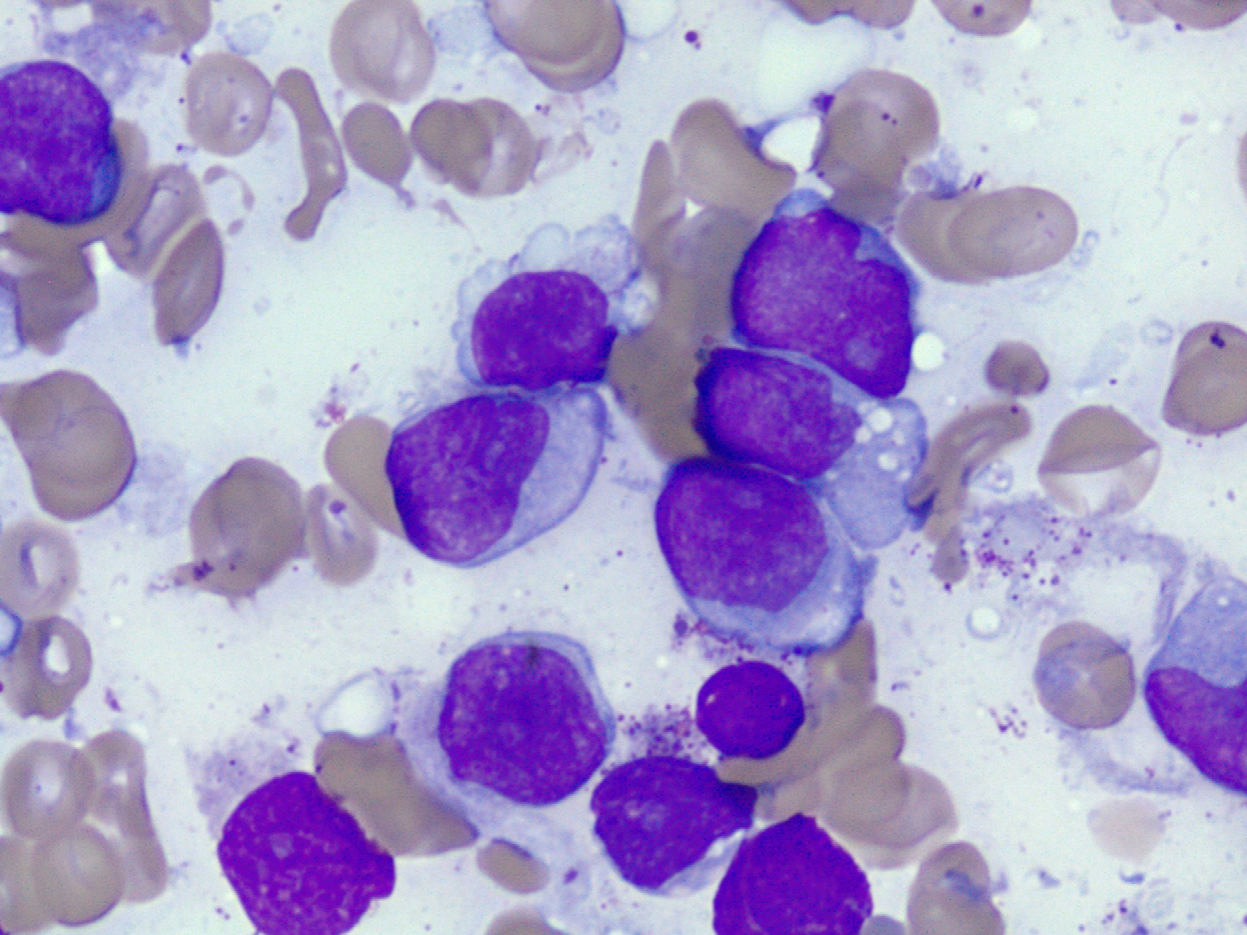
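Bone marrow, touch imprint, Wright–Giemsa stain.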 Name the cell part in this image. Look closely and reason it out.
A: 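Vacuoles. Small round clear holes in the pale blue cytoplasm of a cell right of centre.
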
